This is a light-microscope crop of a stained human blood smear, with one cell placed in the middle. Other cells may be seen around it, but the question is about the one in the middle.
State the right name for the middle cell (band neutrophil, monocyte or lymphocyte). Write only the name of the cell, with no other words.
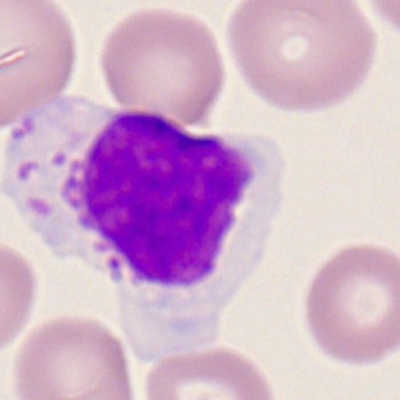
lymphocyte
